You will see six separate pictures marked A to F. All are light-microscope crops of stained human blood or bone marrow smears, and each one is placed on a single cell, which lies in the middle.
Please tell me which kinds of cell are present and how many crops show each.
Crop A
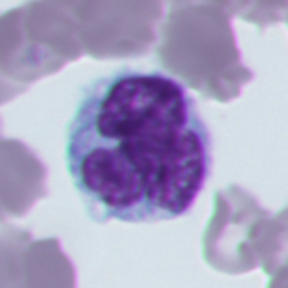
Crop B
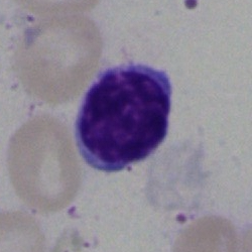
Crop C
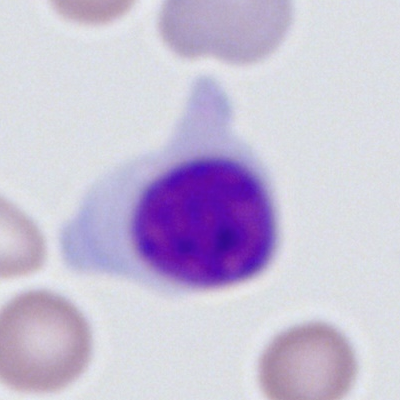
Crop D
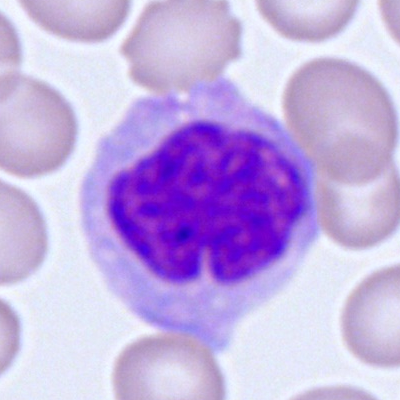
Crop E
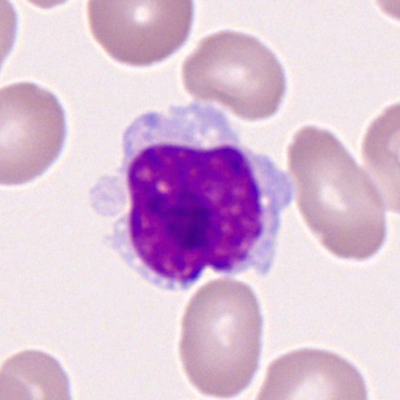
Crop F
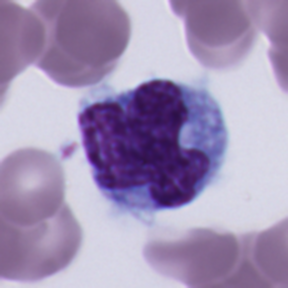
monocyte: 3
lymphocyte: 3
